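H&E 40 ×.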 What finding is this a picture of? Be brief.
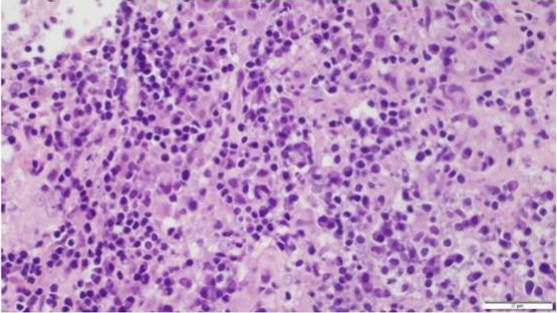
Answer: Lymphocytic infiltrate.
